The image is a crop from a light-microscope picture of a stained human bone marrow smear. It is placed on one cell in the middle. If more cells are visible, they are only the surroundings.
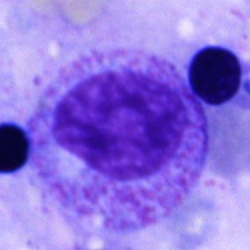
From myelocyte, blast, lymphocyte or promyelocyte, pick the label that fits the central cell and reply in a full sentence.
In the central position of this crop, the cell is a promyelocyte.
